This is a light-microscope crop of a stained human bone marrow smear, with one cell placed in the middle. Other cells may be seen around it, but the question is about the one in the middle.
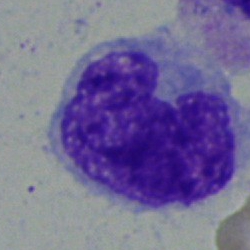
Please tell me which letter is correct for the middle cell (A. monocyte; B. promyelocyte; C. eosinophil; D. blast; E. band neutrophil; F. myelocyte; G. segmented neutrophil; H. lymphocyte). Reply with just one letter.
A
